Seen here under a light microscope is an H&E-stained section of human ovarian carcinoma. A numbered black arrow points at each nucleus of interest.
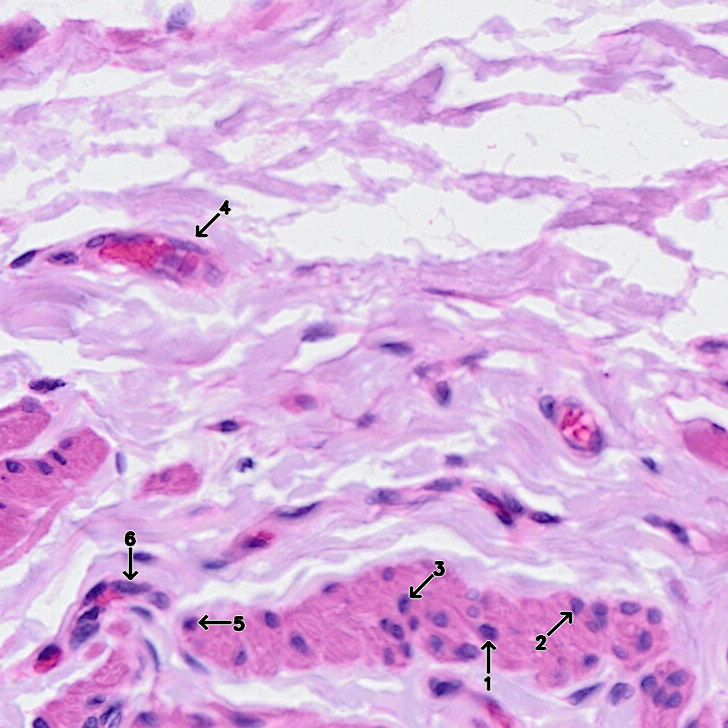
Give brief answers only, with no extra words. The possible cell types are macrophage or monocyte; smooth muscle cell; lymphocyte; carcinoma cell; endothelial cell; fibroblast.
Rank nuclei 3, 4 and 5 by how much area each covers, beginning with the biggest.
4, 3, 5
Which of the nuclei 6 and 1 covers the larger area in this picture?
6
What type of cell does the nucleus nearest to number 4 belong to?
endothelial cell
